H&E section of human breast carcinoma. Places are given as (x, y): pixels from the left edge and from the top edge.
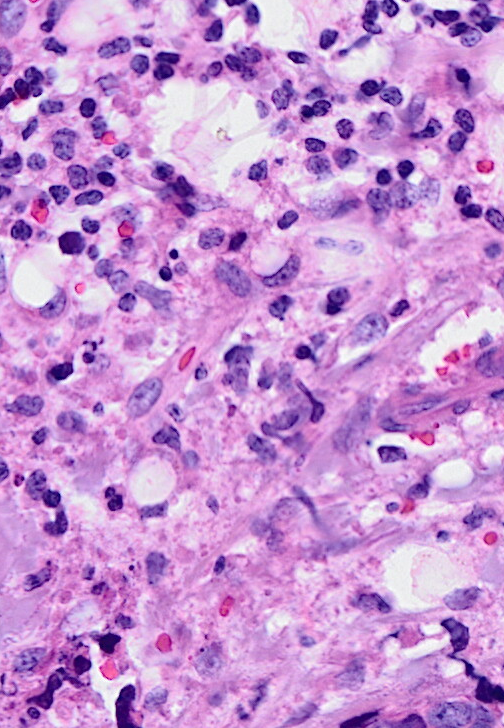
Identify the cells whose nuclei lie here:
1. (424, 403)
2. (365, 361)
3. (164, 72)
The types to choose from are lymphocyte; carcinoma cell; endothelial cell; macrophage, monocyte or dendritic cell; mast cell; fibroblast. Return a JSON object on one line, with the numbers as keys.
{"1": "endothelial cell", "2": "fibroblast", "3": "lymphocyte"}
